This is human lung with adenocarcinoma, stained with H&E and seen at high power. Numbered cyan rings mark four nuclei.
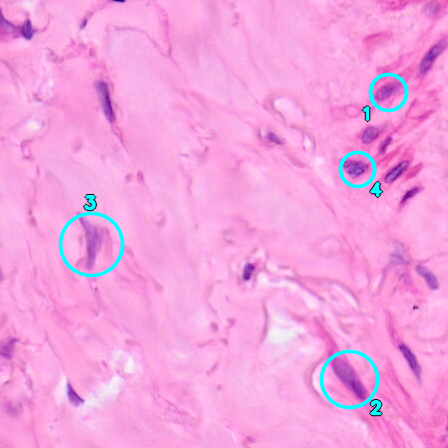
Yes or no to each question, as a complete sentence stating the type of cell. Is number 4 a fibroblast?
No, what number 4 shows is a smooth muscle cell or pericyte, not a fibroblast.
